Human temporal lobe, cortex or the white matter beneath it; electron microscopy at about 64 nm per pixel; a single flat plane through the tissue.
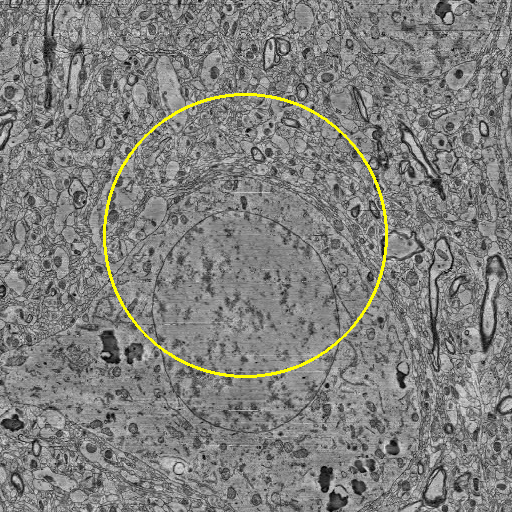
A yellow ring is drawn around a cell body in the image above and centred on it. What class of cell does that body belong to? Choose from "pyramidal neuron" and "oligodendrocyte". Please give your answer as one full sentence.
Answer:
The yellow ring above is centred on the cell body of a pyramidal neuron.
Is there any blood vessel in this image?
No, no vessel appears in the picture.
